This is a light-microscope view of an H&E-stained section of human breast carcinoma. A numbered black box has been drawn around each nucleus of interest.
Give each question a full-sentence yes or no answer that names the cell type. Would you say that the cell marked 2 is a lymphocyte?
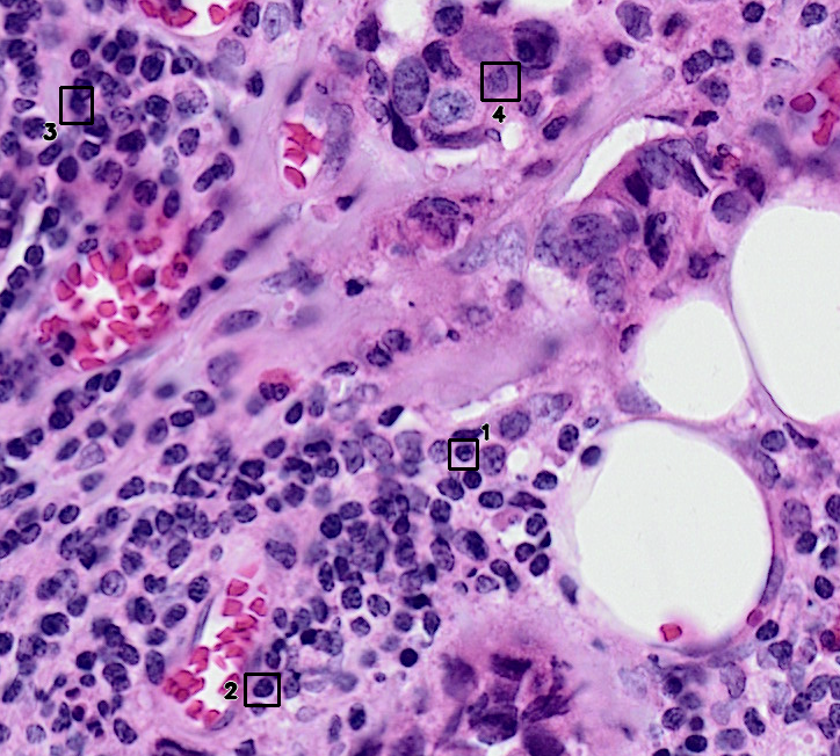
Yes, the cell that number 2 points to is a lymphocyte.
